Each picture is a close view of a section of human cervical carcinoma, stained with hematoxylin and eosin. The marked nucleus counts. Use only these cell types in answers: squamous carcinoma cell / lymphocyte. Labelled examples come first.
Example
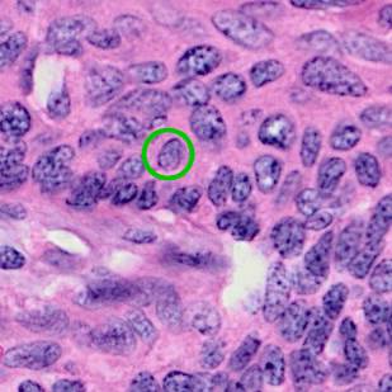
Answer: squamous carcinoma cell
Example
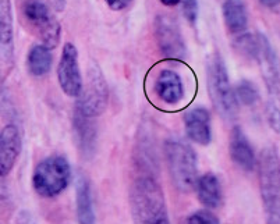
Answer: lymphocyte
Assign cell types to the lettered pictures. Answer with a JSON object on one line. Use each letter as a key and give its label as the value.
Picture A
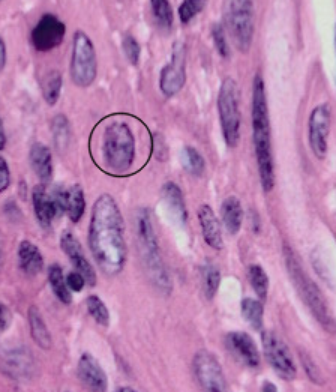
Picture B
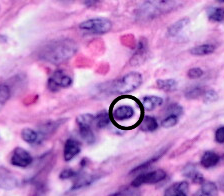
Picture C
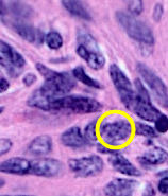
{"A": "squamous carcinoma cell", "B": "lymphocyte", "C": "squamous carcinoma cell"}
